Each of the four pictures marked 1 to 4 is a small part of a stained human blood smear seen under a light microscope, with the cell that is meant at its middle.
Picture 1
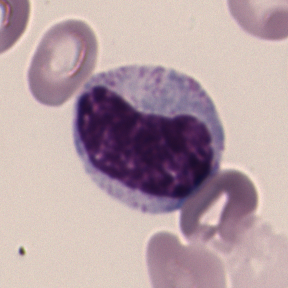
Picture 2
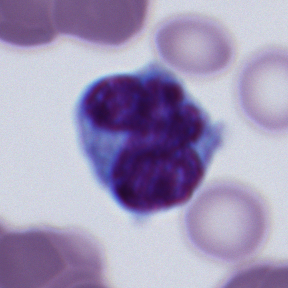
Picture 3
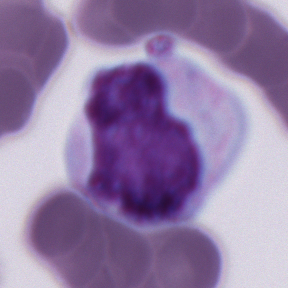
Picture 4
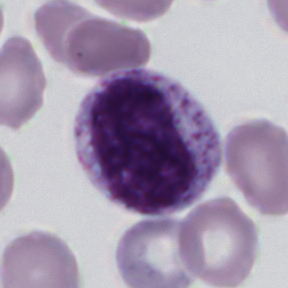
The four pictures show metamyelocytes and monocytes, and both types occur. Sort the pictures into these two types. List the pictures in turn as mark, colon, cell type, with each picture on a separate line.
1: metamyelocyte
2: monocyte
3: metamyelocyte
4: metamyelocyte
